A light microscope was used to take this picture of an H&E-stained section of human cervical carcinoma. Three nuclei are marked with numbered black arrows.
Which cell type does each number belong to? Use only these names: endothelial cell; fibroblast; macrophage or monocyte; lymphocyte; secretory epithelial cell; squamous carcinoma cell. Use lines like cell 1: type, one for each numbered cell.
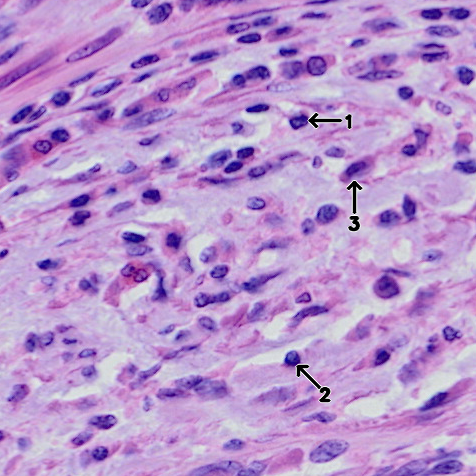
cell 1: lymphocyte
cell 2: lymphocyte
cell 3: macrophage or monocyte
